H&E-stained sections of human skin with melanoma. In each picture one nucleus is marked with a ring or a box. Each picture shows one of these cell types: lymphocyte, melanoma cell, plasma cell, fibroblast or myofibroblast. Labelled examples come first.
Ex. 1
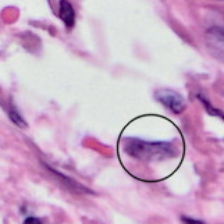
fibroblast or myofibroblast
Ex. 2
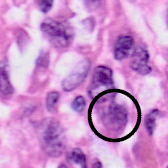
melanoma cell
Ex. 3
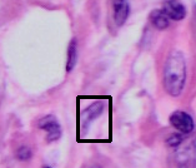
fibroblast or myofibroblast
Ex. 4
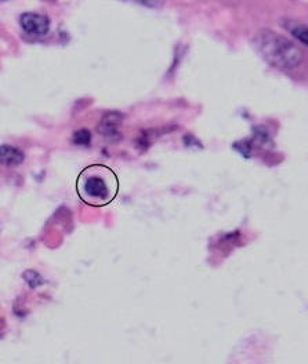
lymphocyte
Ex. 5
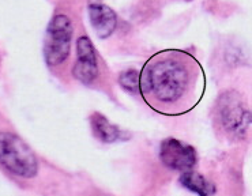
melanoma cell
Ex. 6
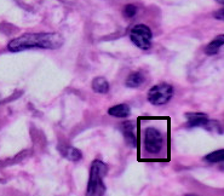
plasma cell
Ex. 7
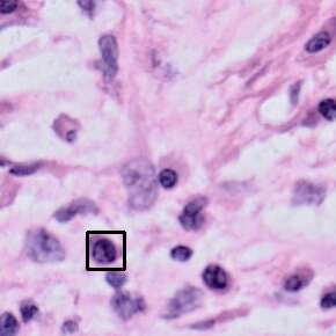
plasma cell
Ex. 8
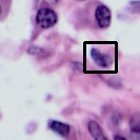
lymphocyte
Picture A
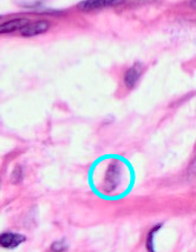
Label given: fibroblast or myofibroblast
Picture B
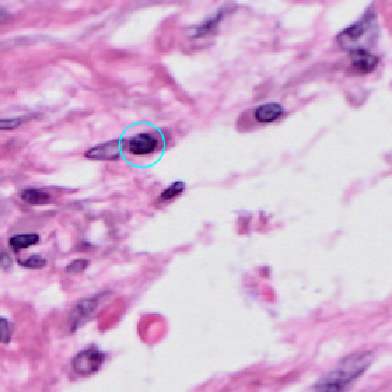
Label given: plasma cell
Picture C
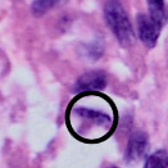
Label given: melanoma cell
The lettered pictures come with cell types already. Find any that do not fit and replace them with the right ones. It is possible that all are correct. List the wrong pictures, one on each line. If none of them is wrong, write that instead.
All labels are correct.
